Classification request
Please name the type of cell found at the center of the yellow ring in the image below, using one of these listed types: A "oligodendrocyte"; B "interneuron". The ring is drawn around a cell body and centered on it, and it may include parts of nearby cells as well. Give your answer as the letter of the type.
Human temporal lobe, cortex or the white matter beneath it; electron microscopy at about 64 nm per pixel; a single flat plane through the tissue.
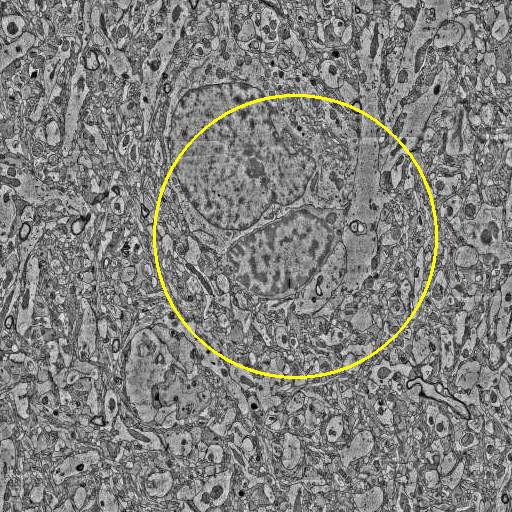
A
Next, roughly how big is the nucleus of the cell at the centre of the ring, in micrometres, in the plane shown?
Roughly 7 by 5 micrometres is the size of the nucleus in this plane.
